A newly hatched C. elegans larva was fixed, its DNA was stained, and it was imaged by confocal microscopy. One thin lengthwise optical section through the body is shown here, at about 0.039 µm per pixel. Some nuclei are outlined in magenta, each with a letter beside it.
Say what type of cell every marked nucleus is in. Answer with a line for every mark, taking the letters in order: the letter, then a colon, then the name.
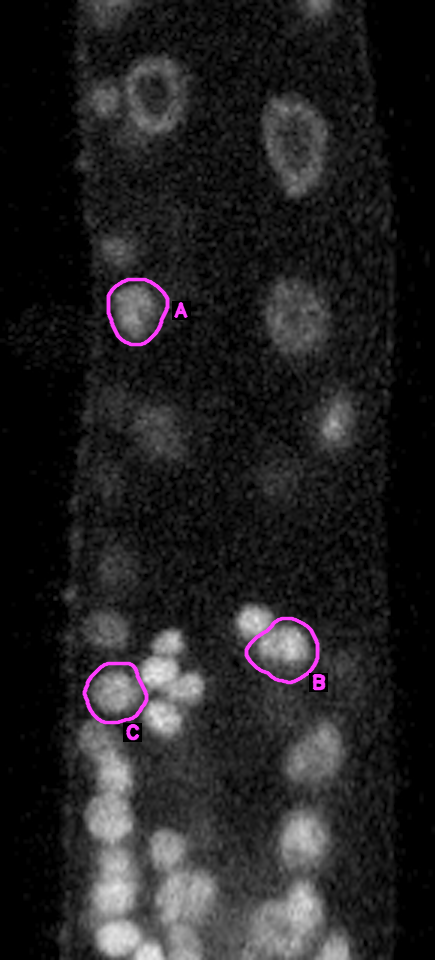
A: body wall muscle cell
B: valve cell of the gut
C: neuron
